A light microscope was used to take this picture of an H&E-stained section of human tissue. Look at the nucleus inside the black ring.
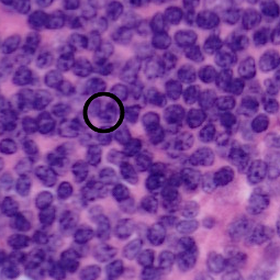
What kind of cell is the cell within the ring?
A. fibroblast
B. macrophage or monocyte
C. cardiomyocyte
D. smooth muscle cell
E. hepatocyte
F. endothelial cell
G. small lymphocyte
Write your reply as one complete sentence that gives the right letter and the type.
The correct option here, G, identifies the cell within the ring as a small lymphocyte.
